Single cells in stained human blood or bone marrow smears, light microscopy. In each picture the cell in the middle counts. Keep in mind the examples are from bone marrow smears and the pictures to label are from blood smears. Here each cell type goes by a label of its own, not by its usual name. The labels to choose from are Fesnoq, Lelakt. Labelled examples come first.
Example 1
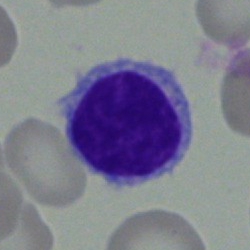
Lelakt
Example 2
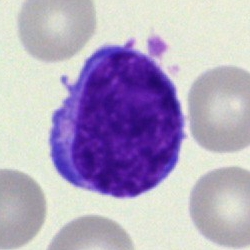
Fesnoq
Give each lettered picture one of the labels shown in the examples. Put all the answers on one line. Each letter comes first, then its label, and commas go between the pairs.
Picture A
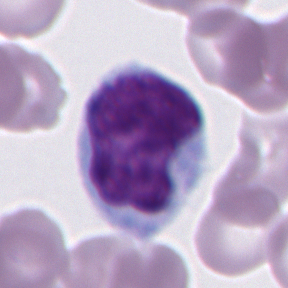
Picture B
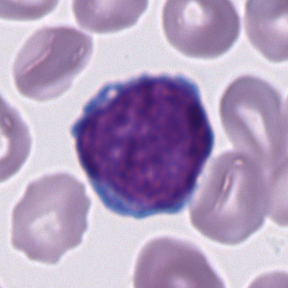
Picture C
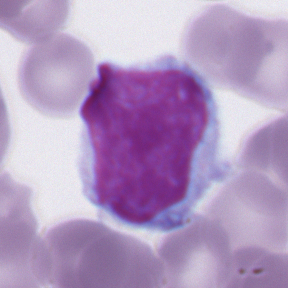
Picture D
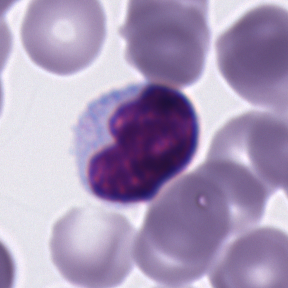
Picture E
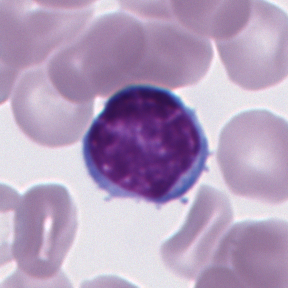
A Lelakt, B Fesnoq, C Lelakt, D Lelakt, E Lelakt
